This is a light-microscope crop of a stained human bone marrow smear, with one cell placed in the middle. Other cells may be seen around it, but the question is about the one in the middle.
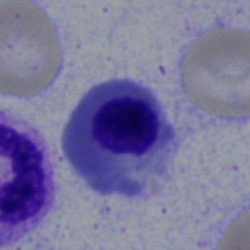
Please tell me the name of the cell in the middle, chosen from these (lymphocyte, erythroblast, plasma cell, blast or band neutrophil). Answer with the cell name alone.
erythroblast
